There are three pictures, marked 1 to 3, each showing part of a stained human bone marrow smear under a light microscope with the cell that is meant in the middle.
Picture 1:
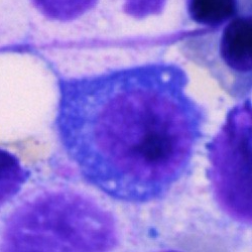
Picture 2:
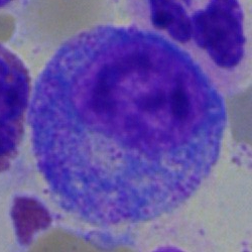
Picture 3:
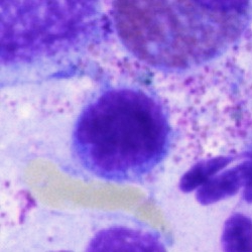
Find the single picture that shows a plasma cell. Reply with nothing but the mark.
1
